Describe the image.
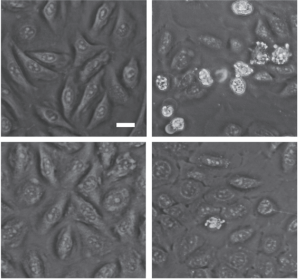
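In the upper right image many cells have lost this flat shape and become small, rounded and bright, with grainy, bubbled surfaces typical of dying cells. In the lower right image most cells stay flat and spread, and only a few rounded bright cells are seen.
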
